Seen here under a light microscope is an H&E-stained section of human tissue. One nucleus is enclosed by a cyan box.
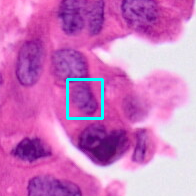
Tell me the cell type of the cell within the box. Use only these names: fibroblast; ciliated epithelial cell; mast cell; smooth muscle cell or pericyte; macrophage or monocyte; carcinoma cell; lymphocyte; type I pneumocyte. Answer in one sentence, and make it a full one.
Among the cells in this section, the cell within the box is a carcinoma cell.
